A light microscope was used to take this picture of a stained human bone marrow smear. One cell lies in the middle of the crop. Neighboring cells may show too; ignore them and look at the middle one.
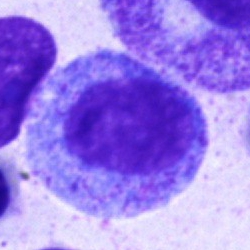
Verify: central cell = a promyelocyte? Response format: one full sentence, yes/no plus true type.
Yes, the cell in the middle is recognised as a promyelocyte.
